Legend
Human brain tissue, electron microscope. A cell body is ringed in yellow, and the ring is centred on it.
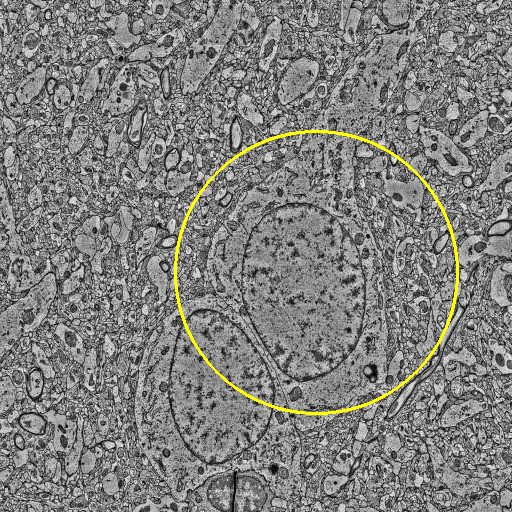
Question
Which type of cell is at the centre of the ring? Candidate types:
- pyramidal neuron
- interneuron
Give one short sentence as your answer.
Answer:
The yellow ring is centred here on a pyramidal neuron.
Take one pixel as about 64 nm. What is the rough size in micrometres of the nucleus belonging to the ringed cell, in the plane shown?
About 12 by 8 micrometres in this plane.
